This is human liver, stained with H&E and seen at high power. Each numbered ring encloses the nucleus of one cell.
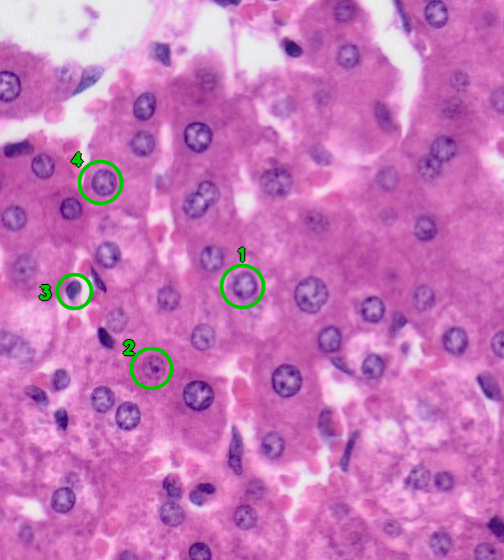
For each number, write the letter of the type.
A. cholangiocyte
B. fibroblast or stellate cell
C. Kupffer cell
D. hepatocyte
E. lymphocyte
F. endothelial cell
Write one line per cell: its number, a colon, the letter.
1: D
2: D
3: E
4: D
